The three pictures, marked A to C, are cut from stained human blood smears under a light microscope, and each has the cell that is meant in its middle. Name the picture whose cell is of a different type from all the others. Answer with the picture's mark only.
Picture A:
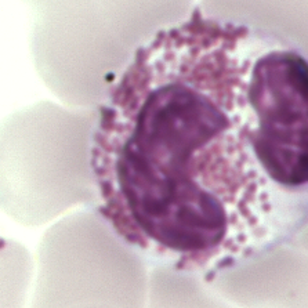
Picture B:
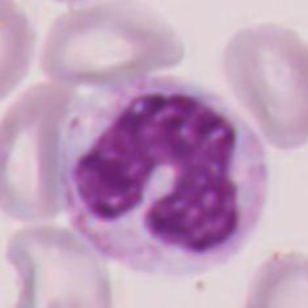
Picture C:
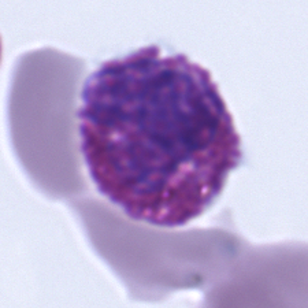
B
